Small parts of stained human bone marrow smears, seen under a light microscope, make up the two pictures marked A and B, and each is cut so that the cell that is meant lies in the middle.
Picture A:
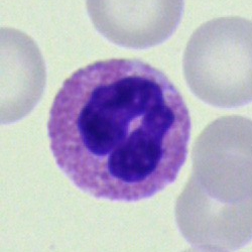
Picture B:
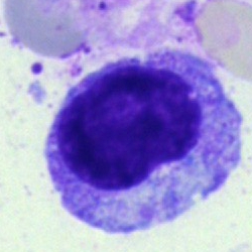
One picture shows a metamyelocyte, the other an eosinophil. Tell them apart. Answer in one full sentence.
Picture B shows a metamyelocyte, while picture A shows an eosinophil.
